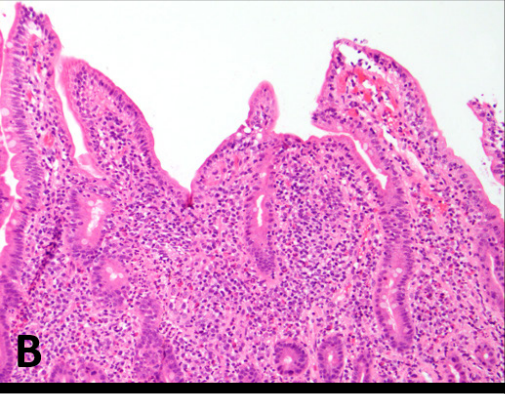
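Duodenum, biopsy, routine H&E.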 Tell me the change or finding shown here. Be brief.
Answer: Villous blunting.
